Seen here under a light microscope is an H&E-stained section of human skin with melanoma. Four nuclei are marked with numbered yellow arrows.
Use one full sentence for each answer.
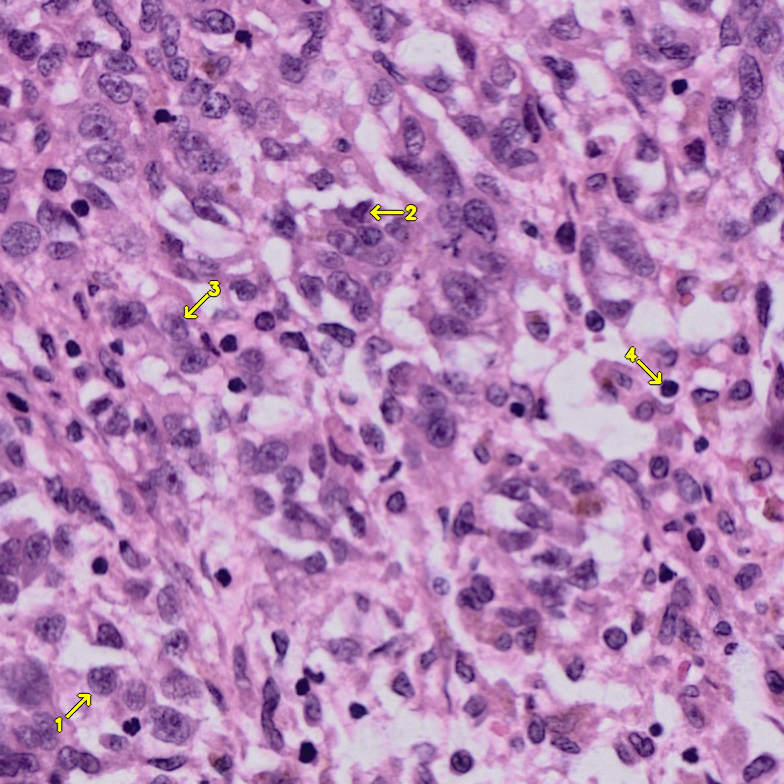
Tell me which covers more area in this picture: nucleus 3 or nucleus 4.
The larger nucleus is 3, at roughly 1.5 times the area of 4.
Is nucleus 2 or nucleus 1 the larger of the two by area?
At about 2.5 times the area of nucleus 2, nucleus 1 is the larger of the two.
